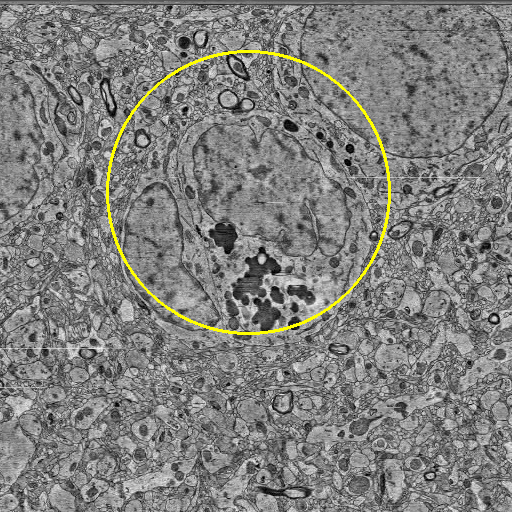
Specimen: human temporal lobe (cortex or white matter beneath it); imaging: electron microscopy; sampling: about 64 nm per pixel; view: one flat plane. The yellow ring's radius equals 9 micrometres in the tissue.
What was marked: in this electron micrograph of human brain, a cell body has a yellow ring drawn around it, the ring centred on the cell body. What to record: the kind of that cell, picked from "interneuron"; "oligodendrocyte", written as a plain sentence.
The centred cell is an interneuron.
